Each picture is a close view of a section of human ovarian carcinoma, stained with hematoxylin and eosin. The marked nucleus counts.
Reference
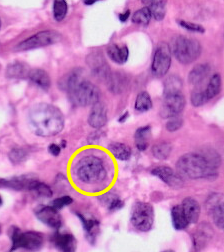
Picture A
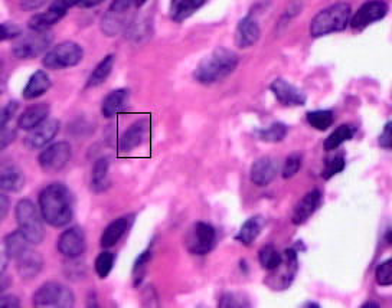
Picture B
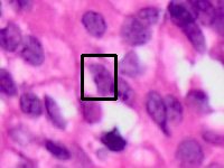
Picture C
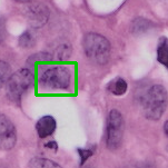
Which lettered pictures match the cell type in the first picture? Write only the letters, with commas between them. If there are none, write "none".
B, C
